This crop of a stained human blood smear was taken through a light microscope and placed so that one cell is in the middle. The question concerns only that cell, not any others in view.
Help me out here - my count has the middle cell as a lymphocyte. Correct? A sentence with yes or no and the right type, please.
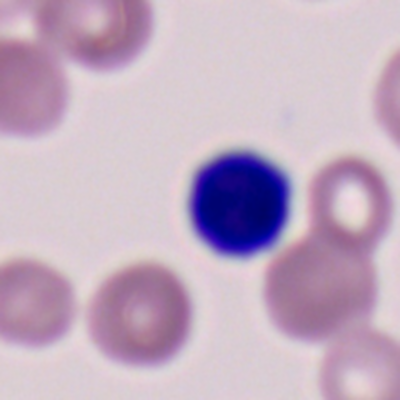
Yes, the cell shown at the crop's centre is a lymphocyte.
